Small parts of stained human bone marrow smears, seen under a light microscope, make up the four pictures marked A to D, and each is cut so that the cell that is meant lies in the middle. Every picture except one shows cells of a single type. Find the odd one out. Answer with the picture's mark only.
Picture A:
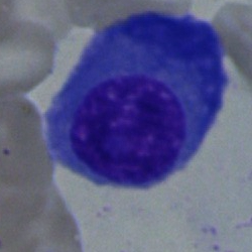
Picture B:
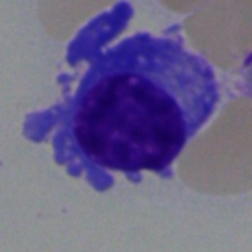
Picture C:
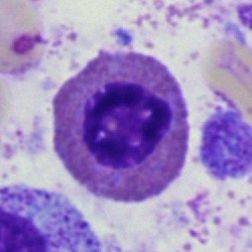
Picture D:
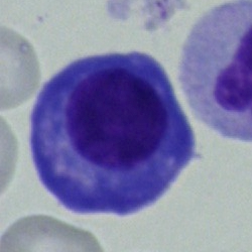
C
